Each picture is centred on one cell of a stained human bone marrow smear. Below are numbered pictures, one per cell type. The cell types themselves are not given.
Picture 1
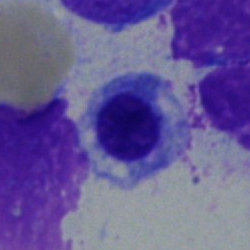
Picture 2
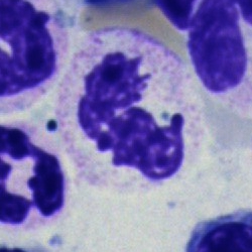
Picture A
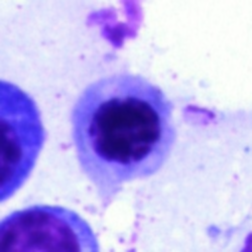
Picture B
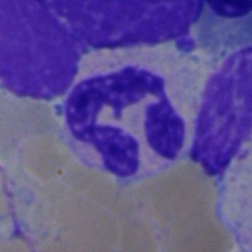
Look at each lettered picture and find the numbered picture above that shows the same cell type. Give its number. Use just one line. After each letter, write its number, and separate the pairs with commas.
A 1, B 2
